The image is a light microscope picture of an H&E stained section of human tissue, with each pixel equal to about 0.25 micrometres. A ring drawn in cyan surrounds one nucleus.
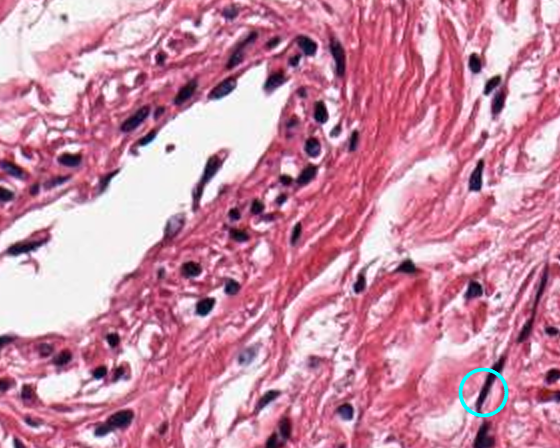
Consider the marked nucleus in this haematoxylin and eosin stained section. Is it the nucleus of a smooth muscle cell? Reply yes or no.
no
